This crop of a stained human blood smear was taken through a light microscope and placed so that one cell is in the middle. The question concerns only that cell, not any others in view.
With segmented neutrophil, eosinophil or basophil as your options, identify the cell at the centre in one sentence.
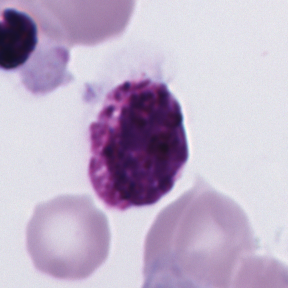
The middle position in this crop is taken by a basophil.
